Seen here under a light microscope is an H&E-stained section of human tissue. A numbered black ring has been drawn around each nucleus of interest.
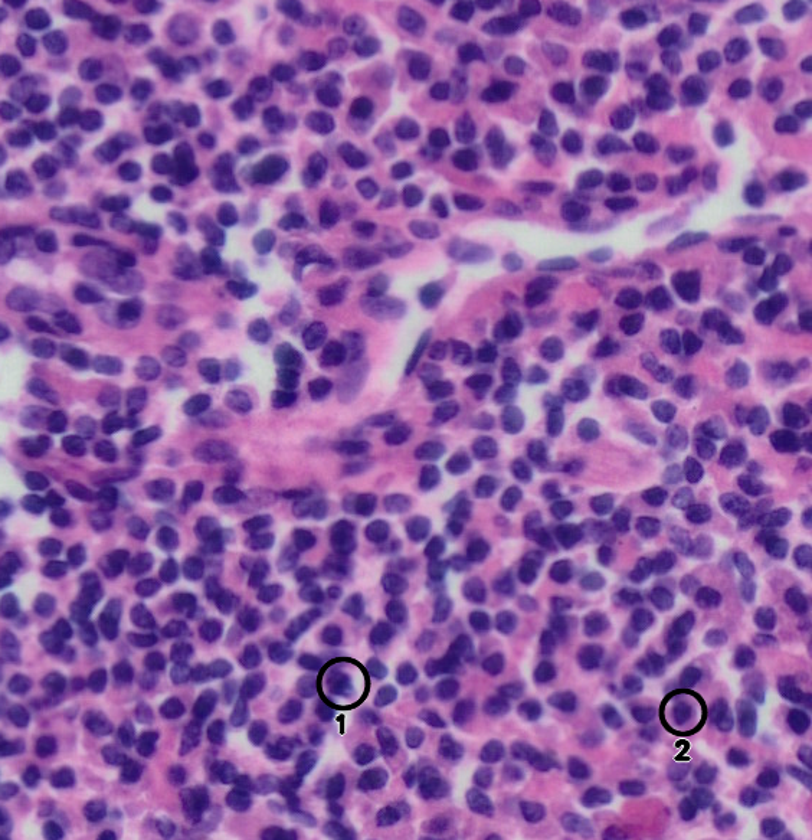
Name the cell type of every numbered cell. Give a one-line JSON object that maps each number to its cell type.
{"1": "small lymphocyte", "2": "plasma cell"}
